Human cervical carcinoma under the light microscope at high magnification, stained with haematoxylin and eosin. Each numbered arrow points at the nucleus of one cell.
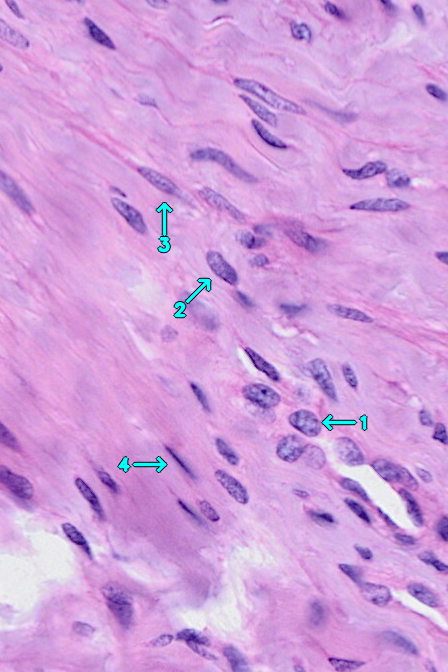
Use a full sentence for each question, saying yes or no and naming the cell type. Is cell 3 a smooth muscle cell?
Yes, the cell at the mark numbered 3 is a smooth muscle cell.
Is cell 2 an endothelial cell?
No, the cell labelled 2 is a fibroblast and not an endothelial cell.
